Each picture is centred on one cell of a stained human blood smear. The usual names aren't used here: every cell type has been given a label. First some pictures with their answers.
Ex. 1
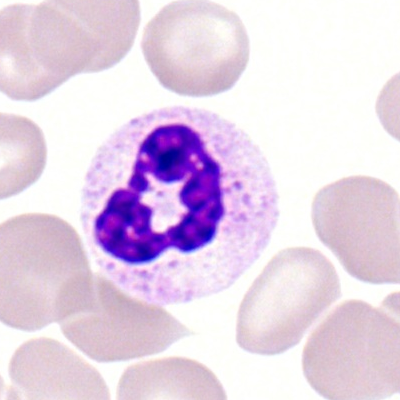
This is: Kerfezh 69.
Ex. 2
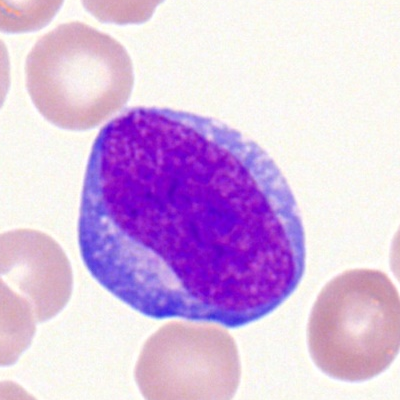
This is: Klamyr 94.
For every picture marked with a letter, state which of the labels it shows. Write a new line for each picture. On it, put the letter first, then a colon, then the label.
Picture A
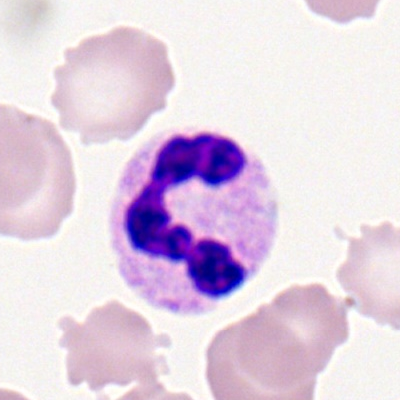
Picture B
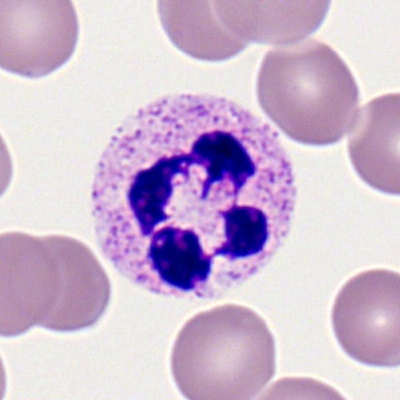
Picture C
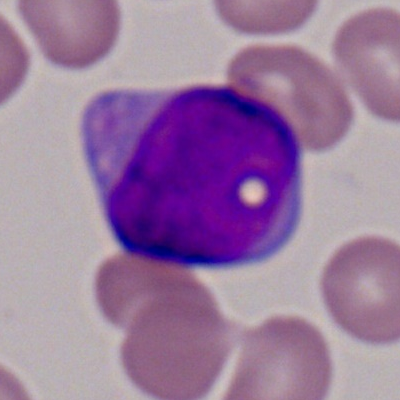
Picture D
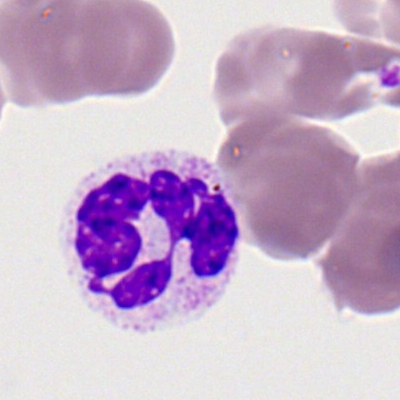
A: Kerfezh 69.
B: Kerfezh 69.
C: Klamyr 94.
D: Kerfezh 69.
